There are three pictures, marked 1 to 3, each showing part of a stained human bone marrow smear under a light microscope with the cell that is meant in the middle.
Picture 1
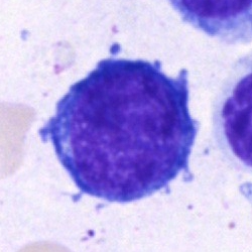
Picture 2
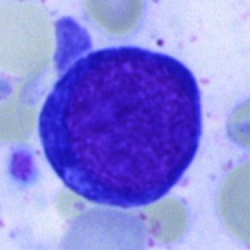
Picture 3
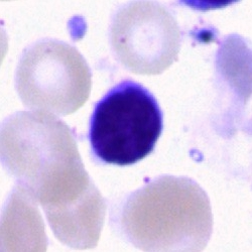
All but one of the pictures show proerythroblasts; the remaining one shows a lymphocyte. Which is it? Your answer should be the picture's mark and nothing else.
3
